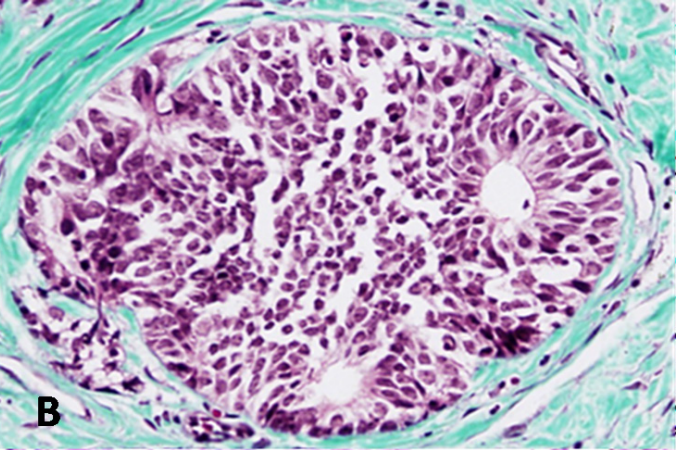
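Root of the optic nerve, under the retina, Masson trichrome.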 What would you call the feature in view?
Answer: Rosette-like structures.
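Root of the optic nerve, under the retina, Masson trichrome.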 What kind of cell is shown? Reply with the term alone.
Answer: Poorly differentiated neuroblastic cells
